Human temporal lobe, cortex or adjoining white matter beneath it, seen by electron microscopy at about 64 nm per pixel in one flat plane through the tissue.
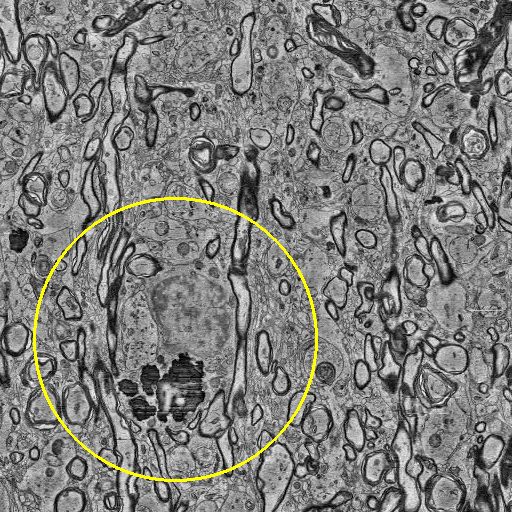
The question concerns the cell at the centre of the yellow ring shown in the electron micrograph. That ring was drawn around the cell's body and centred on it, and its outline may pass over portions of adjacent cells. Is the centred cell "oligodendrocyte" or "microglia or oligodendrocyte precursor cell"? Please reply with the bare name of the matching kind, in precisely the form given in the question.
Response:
oligodendrocyte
